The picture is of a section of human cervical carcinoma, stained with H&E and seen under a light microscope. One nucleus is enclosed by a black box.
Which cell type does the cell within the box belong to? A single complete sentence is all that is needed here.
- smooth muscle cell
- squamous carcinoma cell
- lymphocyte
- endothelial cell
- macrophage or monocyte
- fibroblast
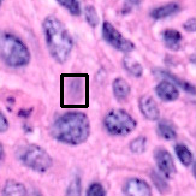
In this field of tissue, the cell within the box is a squamous carcinoma cell.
